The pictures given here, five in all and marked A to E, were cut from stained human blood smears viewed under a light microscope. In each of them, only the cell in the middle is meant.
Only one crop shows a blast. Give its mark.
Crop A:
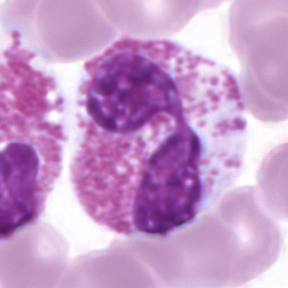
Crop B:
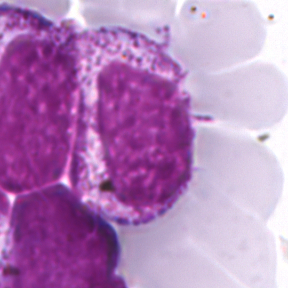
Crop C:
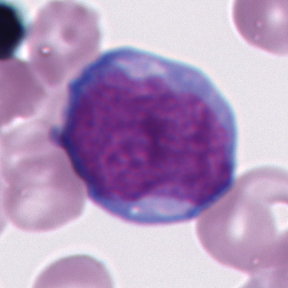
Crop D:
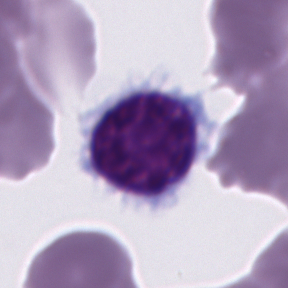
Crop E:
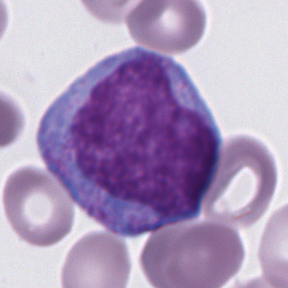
C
